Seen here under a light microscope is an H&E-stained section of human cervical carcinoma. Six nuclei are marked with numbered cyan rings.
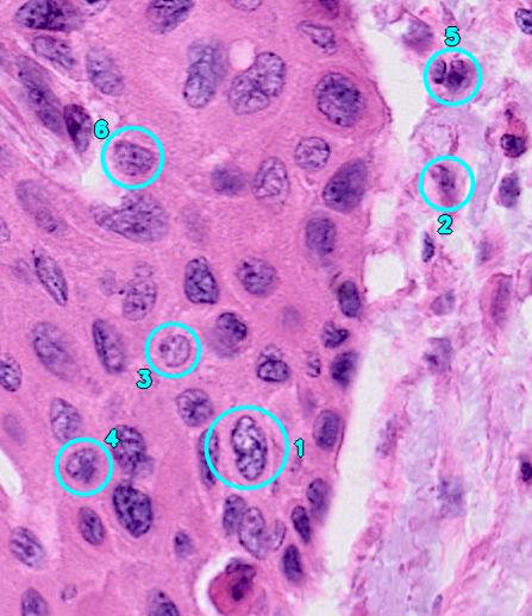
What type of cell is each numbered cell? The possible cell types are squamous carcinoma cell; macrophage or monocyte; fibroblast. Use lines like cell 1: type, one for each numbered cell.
cell 1: squamous carcinoma cell
cell 2: fibroblast
cell 3: squamous carcinoma cell
cell 4: squamous carcinoma cell
cell 5: macrophage or monocyte
cell 6: squamous carcinoma cell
